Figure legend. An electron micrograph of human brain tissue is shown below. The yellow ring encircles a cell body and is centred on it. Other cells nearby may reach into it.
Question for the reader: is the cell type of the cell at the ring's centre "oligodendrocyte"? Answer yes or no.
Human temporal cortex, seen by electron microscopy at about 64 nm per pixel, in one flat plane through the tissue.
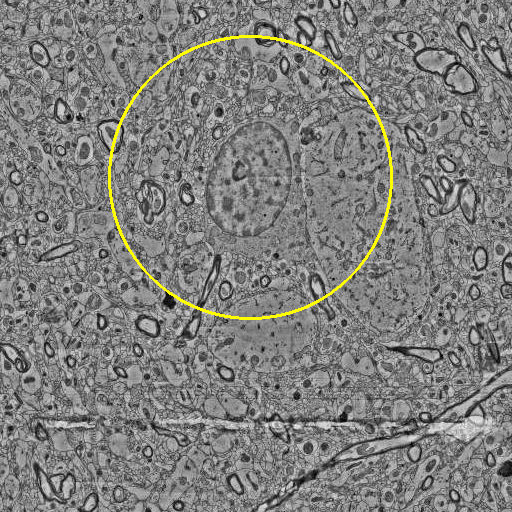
yes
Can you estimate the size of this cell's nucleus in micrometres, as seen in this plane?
In this plane, the nucleus is roughly 7 by 5 micrometres.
